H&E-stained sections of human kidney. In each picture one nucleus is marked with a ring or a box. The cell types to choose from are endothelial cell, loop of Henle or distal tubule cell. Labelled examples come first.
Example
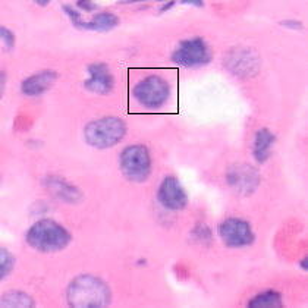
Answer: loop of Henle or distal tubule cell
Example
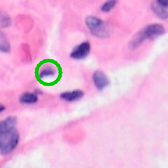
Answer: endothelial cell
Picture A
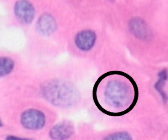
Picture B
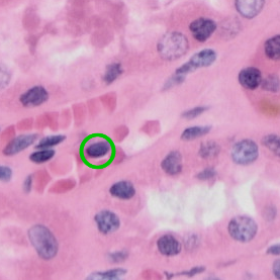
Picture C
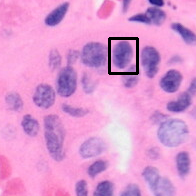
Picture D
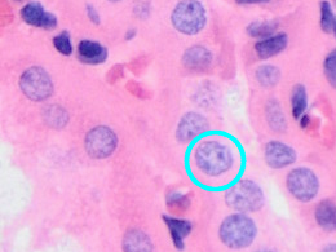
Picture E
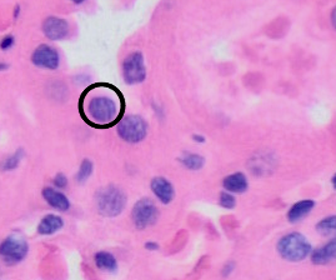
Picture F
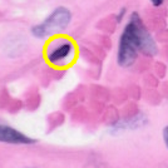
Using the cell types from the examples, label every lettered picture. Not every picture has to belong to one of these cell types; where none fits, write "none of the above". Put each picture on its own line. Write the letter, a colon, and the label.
A: loop of Henle or distal tubule cell
B: endothelial cell
C: none of the above
D: none of the above
E: loop of Henle or distal tubule cell
F: endothelial cell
